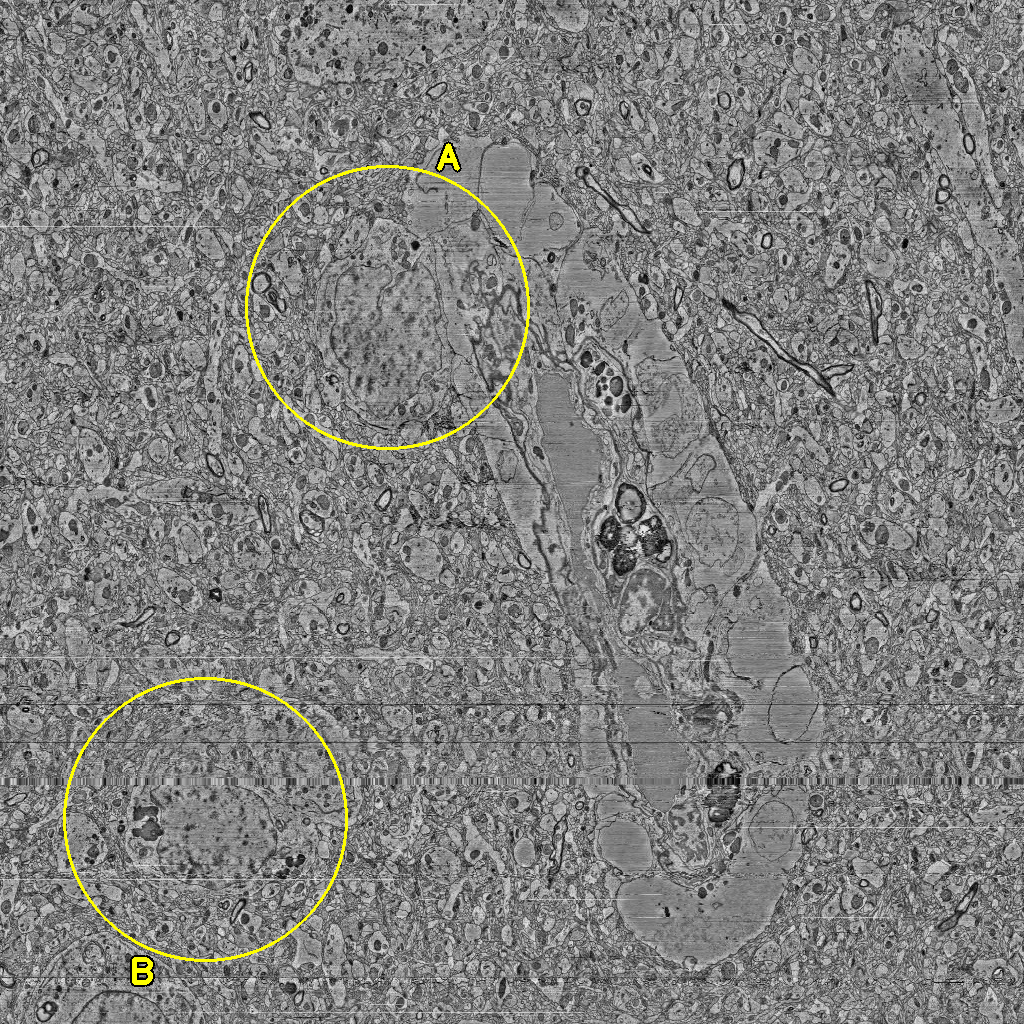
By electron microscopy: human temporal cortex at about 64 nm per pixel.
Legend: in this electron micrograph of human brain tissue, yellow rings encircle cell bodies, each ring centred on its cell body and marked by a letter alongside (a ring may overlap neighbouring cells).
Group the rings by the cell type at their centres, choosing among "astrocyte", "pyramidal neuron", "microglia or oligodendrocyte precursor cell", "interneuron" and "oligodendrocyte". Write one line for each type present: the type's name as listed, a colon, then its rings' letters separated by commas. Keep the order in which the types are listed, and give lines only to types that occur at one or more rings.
interneuron: A, B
